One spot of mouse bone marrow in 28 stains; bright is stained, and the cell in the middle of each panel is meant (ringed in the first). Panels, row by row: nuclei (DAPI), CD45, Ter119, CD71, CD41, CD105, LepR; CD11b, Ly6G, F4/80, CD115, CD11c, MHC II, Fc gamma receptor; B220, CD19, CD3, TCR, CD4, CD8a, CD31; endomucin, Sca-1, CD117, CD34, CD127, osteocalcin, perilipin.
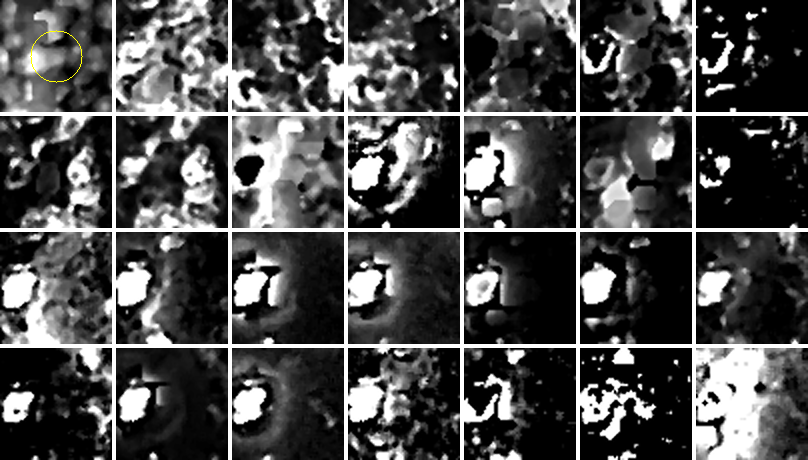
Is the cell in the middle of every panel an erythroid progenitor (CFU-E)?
No, it is a monocyte.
